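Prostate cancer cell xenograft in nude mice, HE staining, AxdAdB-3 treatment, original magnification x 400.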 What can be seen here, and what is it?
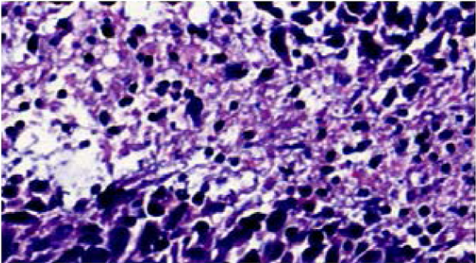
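Densely packed tumor cells with dark purple, irregular nuclei and scant cytoplasm fill the lower part and edges of the field, lying close together in sheets. Across the middle runs a zone of pink, granular and fibrillar material where cell outlines are lost and only scattered small dark nuclear fragments remain, with some clear spaces. The boundary between the crowded viable cells and the pale pink zone is fairly distinct.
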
